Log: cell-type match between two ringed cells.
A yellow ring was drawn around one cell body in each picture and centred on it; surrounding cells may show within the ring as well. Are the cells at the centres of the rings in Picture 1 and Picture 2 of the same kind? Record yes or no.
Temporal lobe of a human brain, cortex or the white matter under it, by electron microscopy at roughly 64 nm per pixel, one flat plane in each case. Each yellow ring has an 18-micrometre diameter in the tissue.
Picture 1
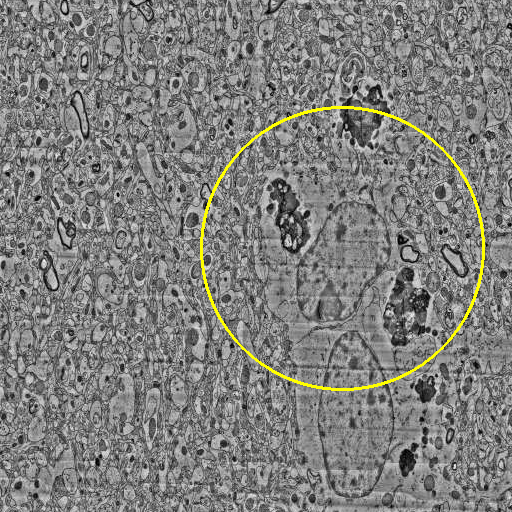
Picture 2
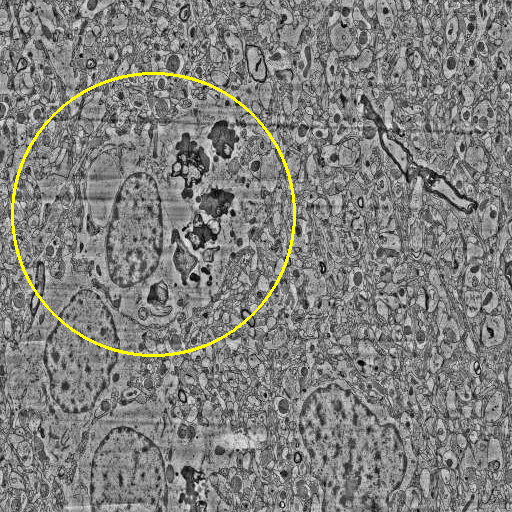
yes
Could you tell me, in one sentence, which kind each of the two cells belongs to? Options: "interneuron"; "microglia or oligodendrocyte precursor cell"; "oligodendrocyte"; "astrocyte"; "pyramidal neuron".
The first and the second cell are each an astrocyte.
